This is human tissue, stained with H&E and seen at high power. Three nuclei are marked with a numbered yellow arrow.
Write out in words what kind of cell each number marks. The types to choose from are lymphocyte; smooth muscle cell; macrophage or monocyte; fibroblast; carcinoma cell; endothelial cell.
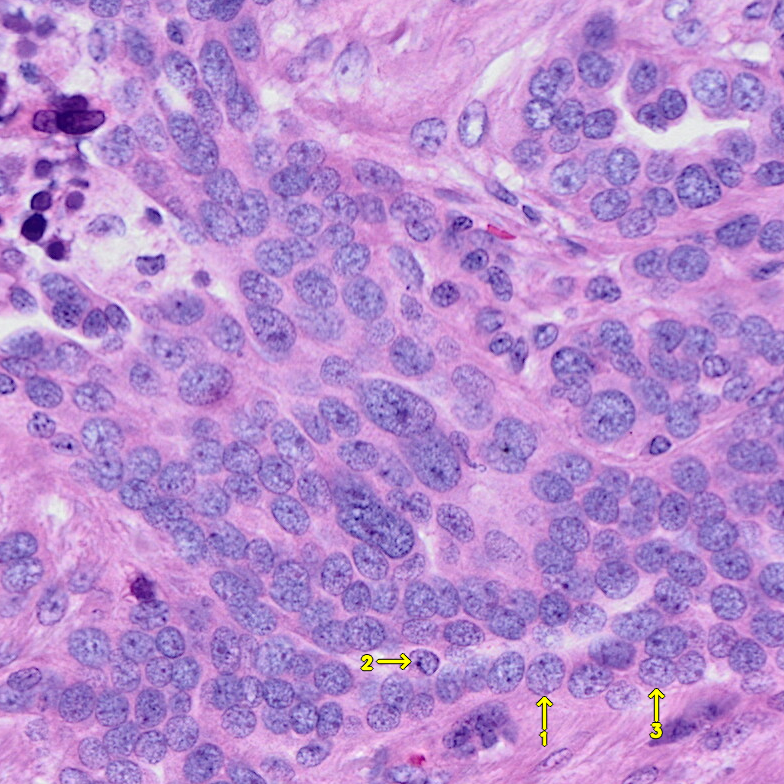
Cells 1 and 3 are carcinoma cells. Cell 2 is a macrophage or monocyte.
